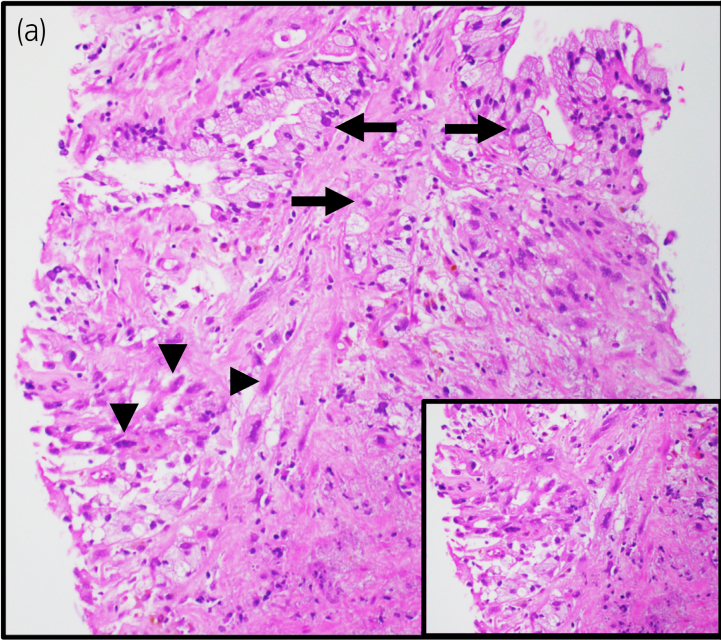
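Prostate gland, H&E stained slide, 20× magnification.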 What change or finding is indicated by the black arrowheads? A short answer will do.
Sarcomatoid differentiation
